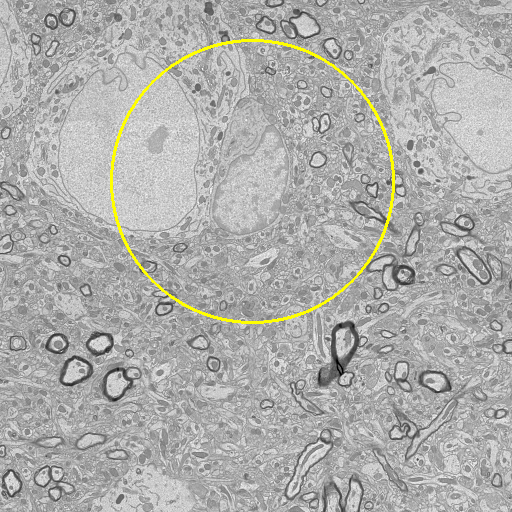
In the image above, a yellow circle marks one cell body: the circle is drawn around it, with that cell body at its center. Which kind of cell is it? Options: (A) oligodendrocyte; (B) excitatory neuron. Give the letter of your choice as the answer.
A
